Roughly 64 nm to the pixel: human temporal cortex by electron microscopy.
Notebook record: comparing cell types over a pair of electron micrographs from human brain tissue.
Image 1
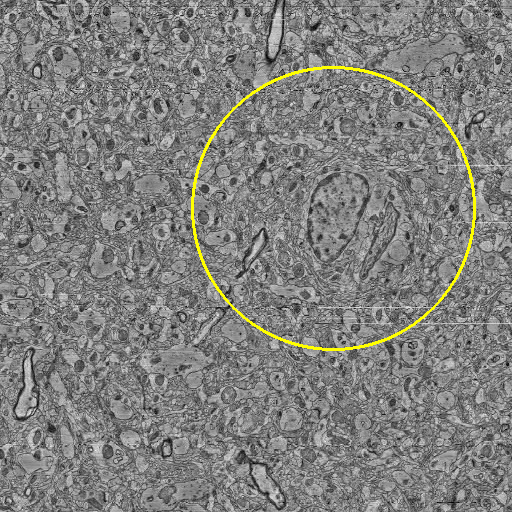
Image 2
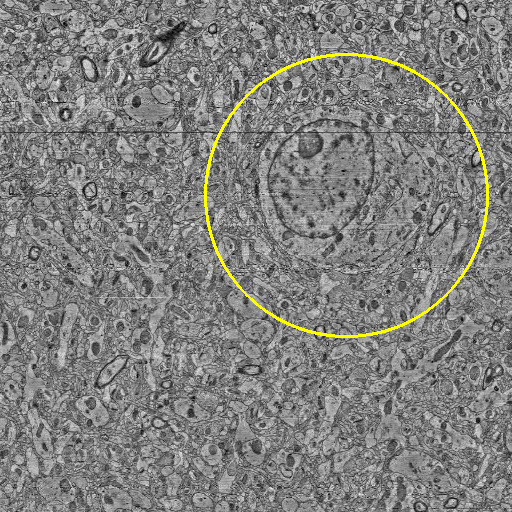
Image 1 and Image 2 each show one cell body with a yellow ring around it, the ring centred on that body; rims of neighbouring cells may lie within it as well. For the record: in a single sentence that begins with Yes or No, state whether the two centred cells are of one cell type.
No, two cell types are found among the centred cells of Image 1 and Image 2.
